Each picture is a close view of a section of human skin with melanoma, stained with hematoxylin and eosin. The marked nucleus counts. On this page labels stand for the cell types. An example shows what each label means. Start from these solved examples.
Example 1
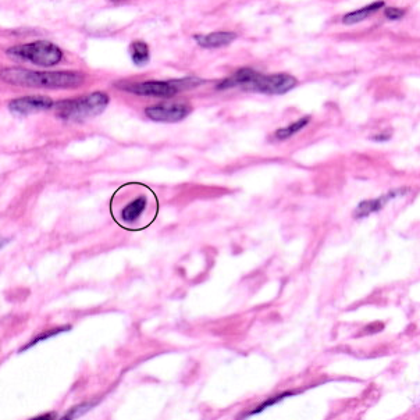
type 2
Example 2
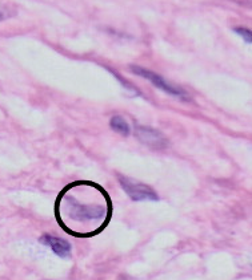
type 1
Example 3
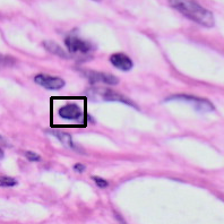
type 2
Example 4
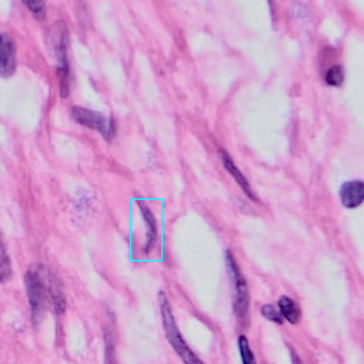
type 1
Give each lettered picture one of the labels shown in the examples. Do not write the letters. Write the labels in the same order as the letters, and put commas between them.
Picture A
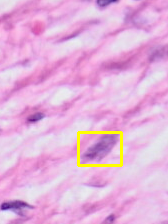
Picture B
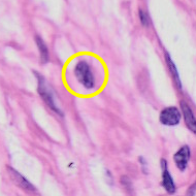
type 1, type 2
